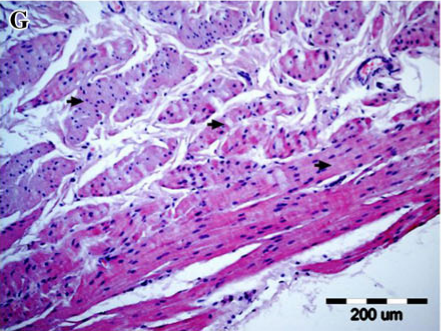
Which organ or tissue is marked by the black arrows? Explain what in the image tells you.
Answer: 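Arrows point to pink, densely packed fascicles of spindle-shaped cells. Nuclei are elongated and cigar-shaped within eosinophilic cytoplasm. Fascicles are cut both lengthwise and across.
Hence: Smooth muscles.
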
